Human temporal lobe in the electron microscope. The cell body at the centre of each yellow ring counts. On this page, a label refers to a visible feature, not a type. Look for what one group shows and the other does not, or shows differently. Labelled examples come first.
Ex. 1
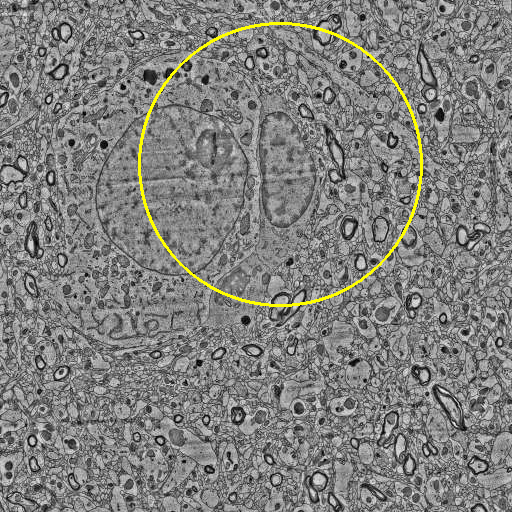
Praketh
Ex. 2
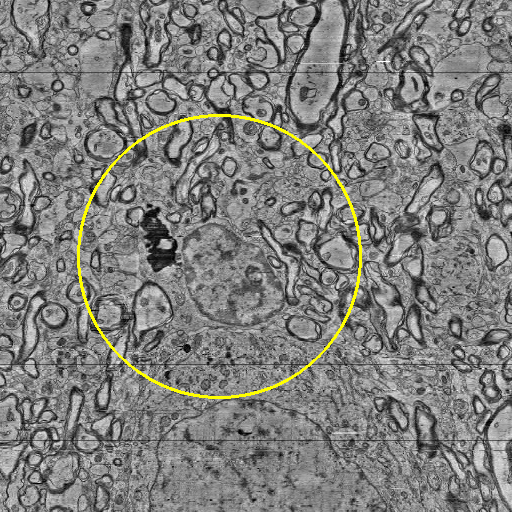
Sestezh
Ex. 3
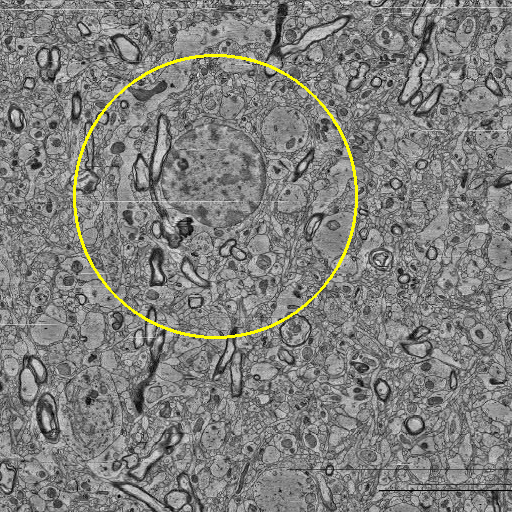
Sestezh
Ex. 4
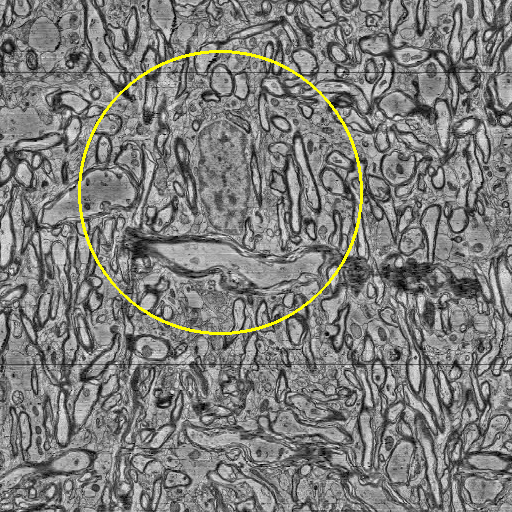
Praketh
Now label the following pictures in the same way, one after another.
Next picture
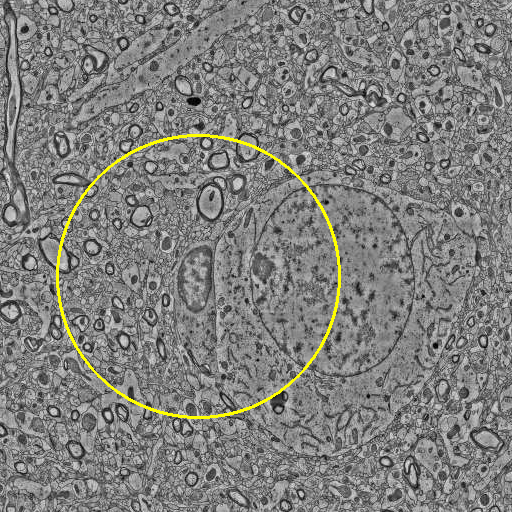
Praketh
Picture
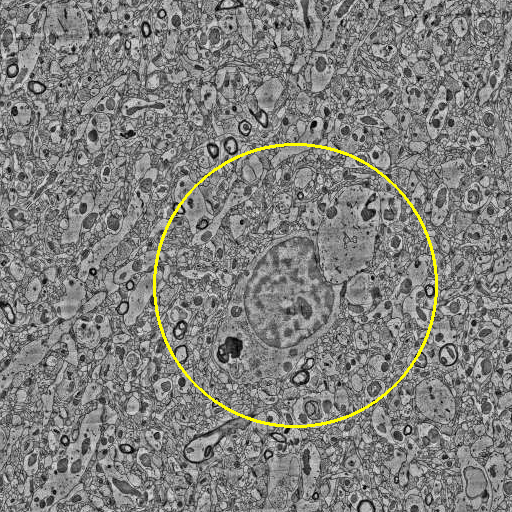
Sestezh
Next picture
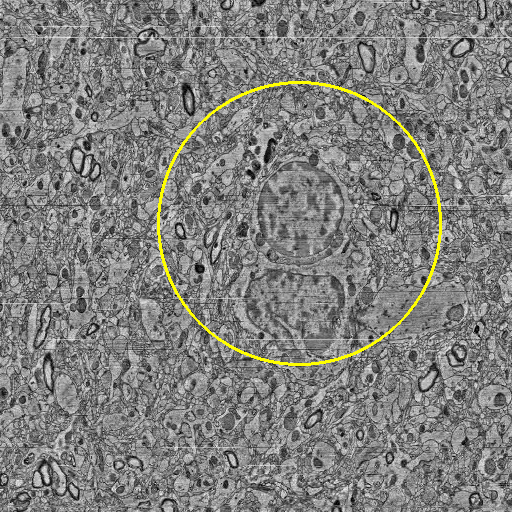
Sestezh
